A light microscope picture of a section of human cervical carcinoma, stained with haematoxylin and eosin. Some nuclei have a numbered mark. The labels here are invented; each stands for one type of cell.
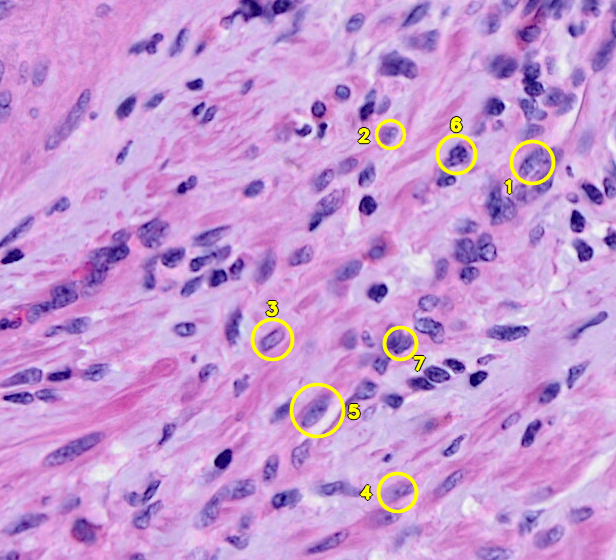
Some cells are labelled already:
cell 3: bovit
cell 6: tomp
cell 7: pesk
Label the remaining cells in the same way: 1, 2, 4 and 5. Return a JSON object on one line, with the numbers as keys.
{"1": "pesk", "2": "bovit", "4": "bovit", "5": "pesk"}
